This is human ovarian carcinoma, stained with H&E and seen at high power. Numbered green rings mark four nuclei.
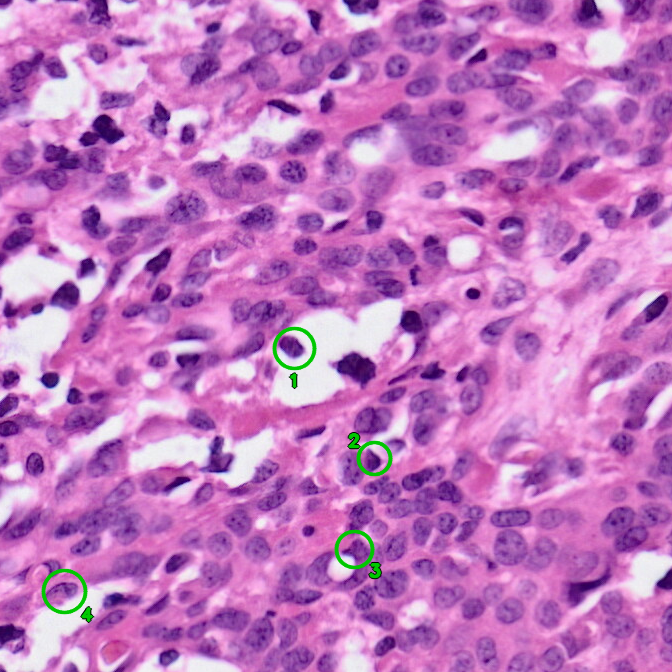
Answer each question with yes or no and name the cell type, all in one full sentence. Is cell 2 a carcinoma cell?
Yes, the marked cell number 2 is a carcinoma cell.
